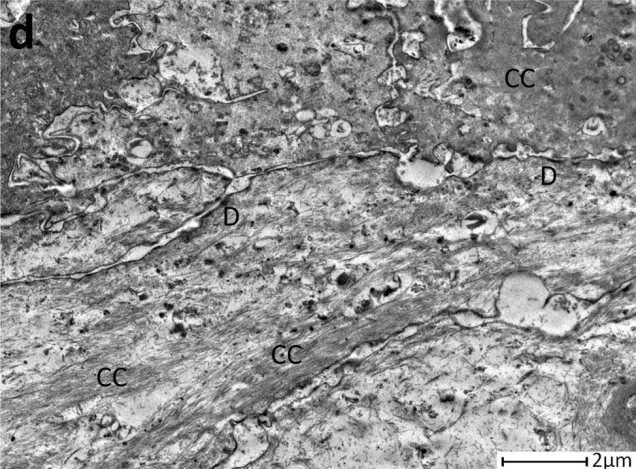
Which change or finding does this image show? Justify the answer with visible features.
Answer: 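The cytoplasm is filled with fine filaments running in parallel. No nucleus is visible in the cells shown.
Answer: keratinized cells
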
